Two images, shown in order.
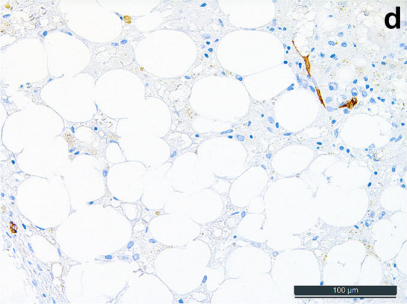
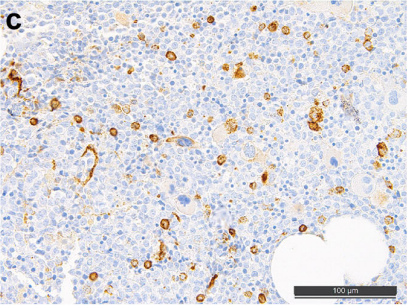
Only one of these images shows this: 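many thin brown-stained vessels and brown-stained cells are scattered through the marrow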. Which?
the second image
